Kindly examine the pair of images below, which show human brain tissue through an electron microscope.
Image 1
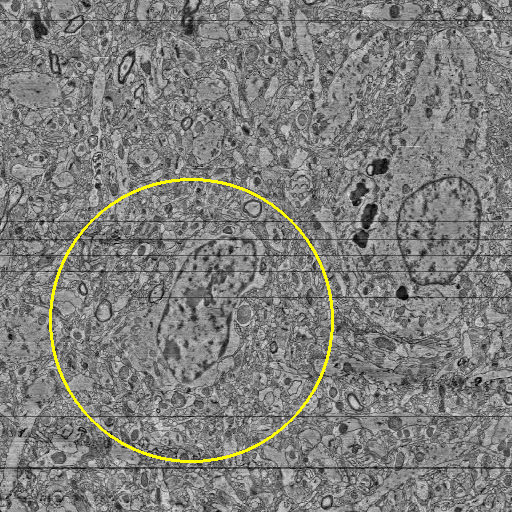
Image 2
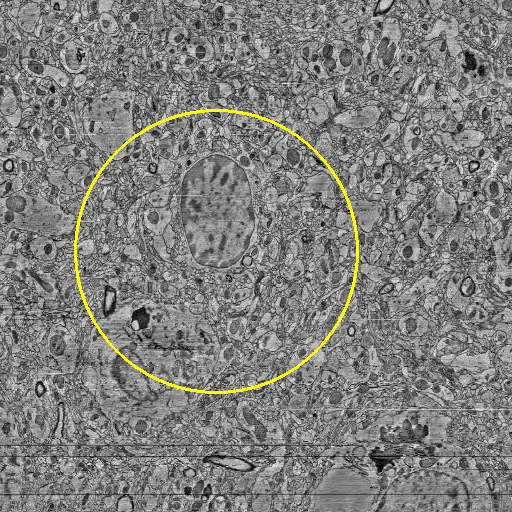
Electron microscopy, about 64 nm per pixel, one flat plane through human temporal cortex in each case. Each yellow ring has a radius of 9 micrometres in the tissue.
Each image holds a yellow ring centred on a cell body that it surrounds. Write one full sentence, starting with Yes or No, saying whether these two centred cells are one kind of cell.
Yes, both cells at the centres of the yellow rings belong to one kind of cell.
